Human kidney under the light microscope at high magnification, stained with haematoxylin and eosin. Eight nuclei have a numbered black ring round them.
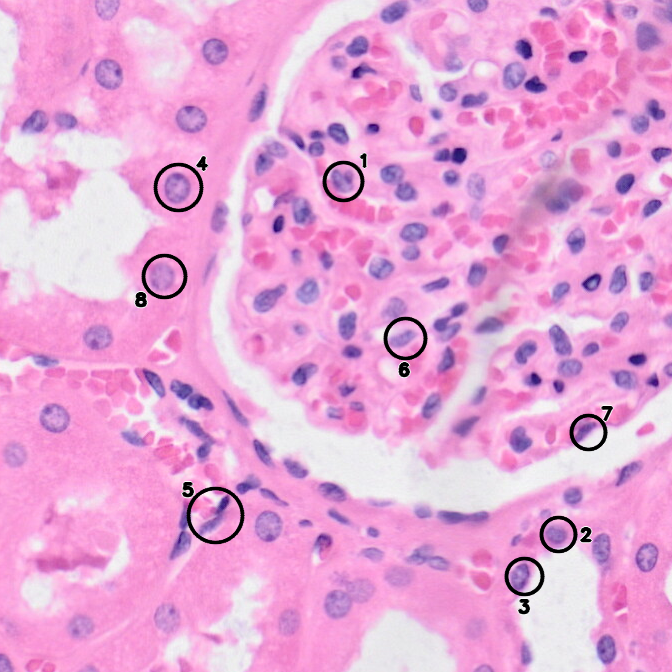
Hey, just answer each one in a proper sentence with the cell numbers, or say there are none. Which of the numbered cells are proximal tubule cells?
The cells picked out by numbers 4 and 8 are proximal tubule cells.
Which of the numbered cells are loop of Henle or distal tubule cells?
The cells carrying labels 2 and 3 are loop of Henle or distal tubule cells.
